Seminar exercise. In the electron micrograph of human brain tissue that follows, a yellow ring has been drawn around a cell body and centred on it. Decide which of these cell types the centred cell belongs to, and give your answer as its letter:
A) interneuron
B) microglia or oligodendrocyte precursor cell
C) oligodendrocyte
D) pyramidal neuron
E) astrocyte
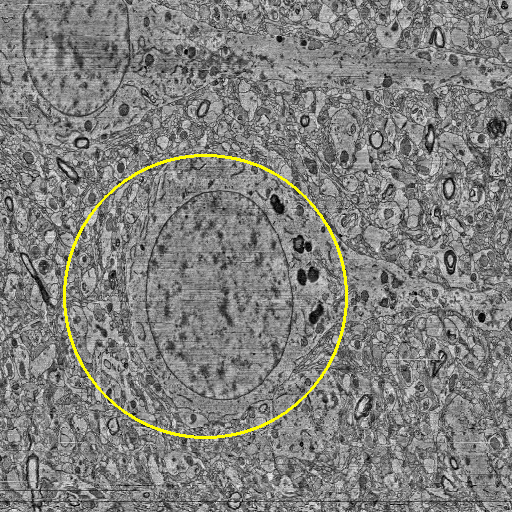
D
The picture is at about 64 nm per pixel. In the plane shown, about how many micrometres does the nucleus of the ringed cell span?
In this plane, roughly 14 by 10 micrometres.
